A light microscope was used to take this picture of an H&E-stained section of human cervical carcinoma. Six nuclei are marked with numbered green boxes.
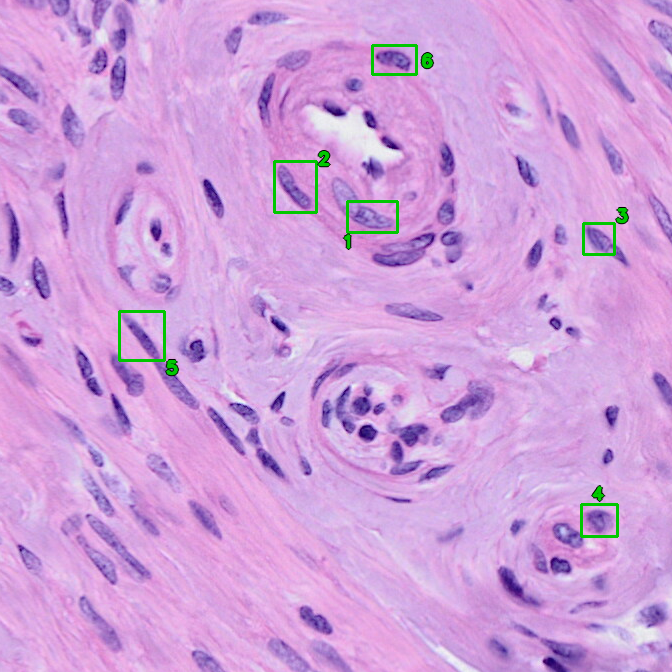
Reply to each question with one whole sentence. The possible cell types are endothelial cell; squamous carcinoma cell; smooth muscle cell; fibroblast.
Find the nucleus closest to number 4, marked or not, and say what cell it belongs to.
It is an endothelial cell whose nucleus is nearest to number 4.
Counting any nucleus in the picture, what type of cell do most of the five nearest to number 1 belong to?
The majority of the five nuclei closest to number 1 belong to smooth muscle cells.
